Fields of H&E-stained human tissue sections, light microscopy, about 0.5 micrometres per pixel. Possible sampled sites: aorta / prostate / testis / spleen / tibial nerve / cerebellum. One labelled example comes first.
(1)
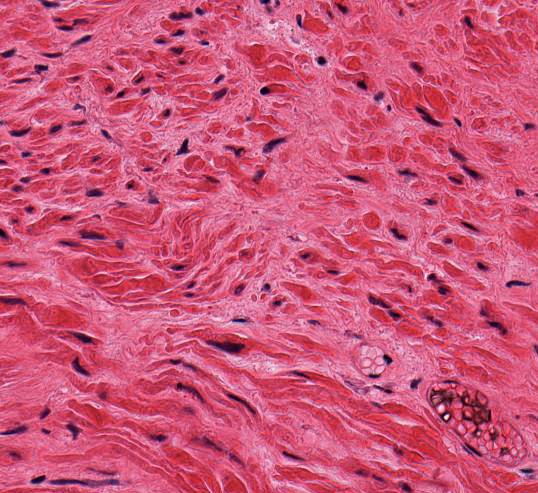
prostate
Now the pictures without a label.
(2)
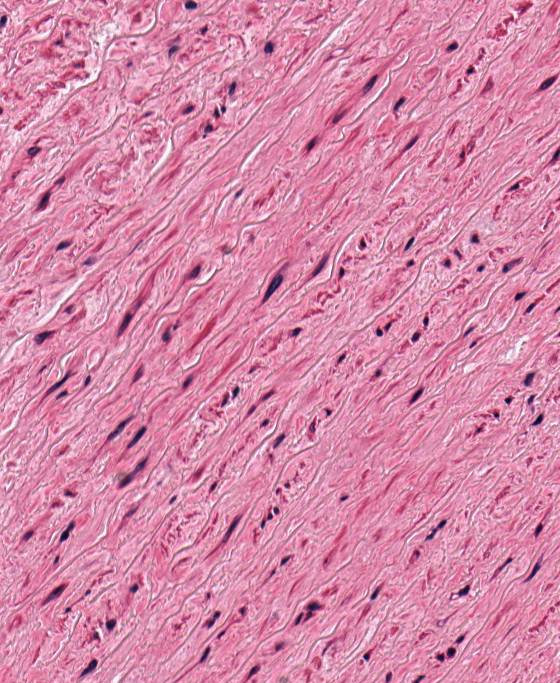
aorta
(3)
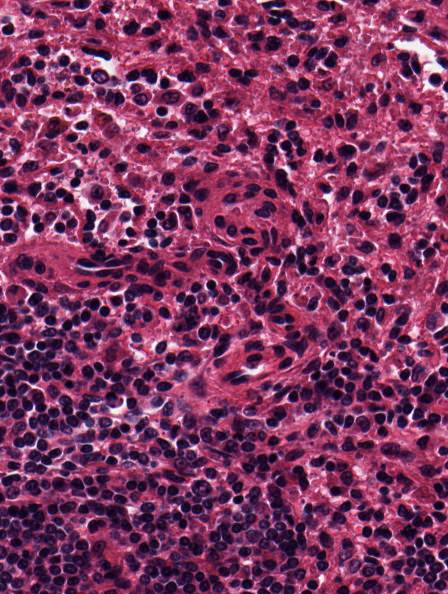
spleen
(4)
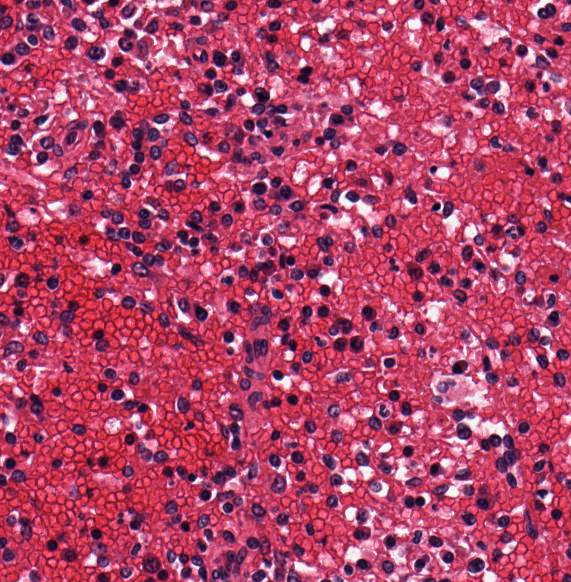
spleen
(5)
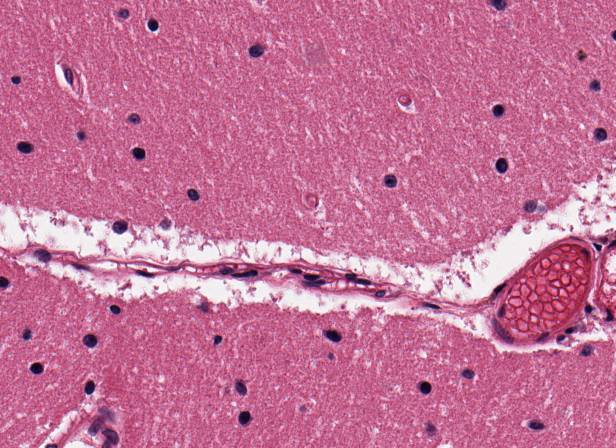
cerebellum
